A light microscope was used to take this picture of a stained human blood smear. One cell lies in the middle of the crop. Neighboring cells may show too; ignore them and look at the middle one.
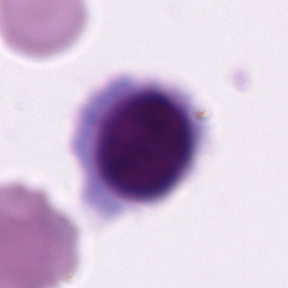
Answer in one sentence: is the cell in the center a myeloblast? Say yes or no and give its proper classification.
No, sorry, the middle cell is a hairy cell rather than a myeloblast.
